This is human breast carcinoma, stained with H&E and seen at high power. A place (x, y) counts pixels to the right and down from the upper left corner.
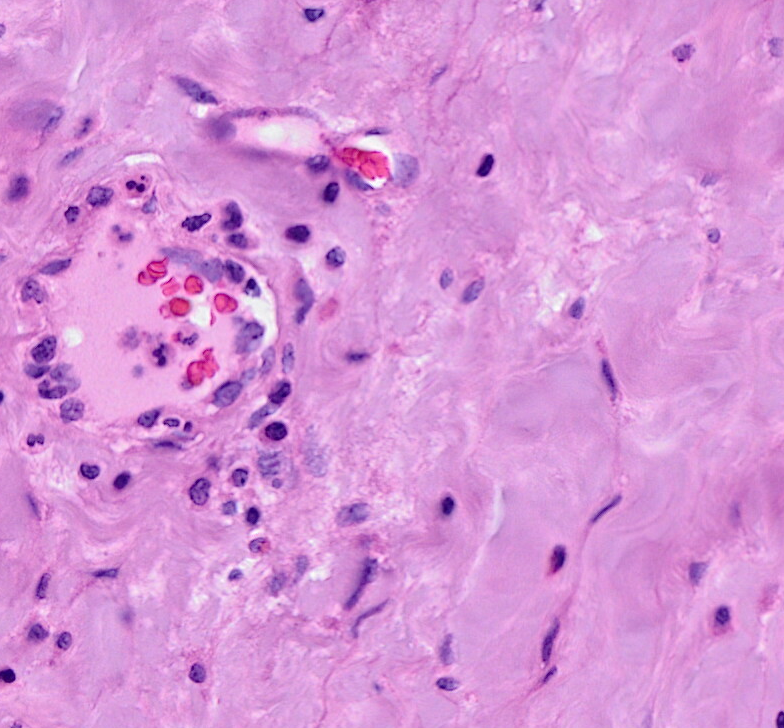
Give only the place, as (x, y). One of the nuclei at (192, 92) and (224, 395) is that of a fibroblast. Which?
(192, 92)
